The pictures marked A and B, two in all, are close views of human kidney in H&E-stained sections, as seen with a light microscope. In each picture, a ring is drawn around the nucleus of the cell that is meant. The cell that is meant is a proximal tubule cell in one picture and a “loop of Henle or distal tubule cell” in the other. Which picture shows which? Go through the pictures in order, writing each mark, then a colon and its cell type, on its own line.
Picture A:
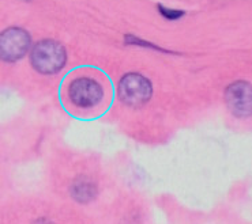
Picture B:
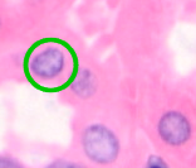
A: proximal tubule cell
B: loop of Henle or distal tubule cell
